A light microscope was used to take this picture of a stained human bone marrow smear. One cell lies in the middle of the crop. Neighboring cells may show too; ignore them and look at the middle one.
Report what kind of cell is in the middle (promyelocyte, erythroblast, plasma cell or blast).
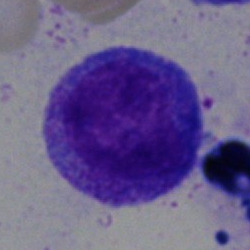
promyelocyte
